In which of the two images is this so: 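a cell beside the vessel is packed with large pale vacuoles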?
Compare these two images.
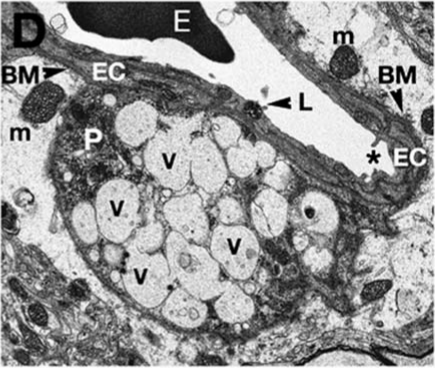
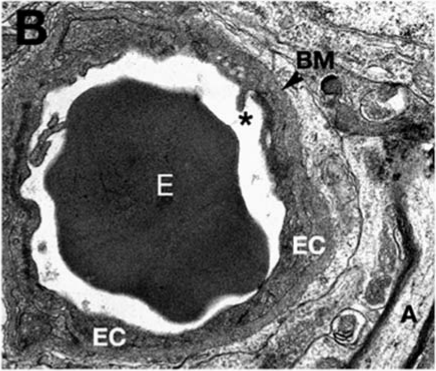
the first image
